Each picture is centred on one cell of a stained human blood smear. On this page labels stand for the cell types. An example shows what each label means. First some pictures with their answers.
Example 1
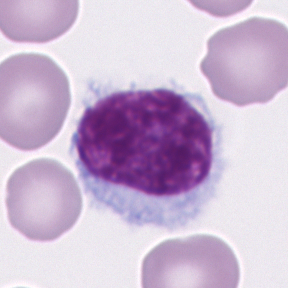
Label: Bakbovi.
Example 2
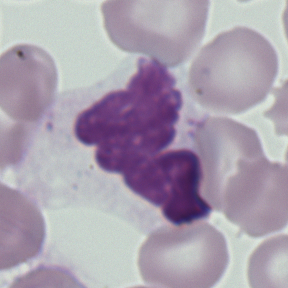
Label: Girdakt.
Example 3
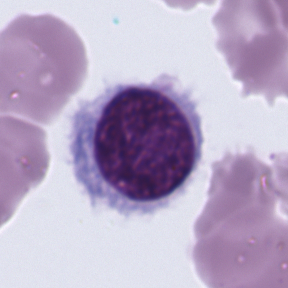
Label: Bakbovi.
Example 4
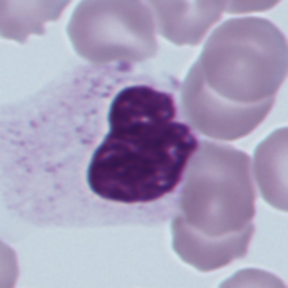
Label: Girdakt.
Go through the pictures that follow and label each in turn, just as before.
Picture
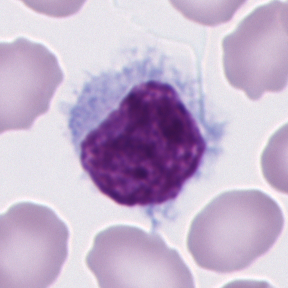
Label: Bakbovi.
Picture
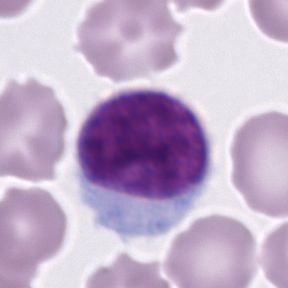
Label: Bakbovi.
